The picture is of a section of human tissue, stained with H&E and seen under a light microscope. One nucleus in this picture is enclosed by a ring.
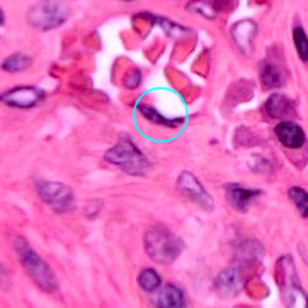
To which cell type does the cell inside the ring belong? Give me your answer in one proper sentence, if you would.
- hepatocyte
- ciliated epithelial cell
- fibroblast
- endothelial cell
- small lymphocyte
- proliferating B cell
On this particular slide, the cell inside the ring is an endothelial cell.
